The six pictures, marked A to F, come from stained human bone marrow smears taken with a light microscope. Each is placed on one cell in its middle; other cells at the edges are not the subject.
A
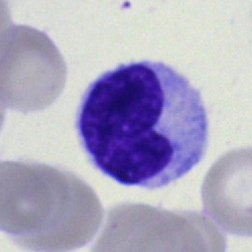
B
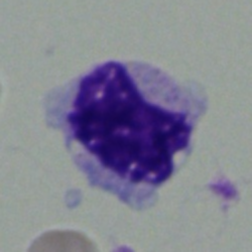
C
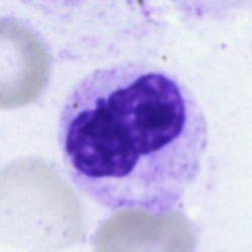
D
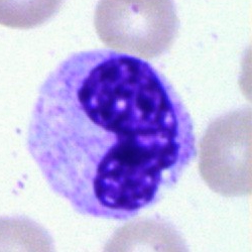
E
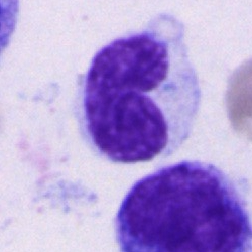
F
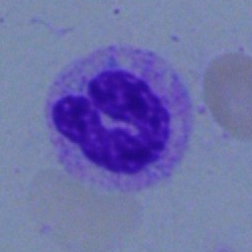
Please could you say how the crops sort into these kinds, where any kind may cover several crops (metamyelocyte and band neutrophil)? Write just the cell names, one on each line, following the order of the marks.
metamyelocyte
metamyelocyte
band neutrophil
band neutrophil
metamyelocyte
band neutrophil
